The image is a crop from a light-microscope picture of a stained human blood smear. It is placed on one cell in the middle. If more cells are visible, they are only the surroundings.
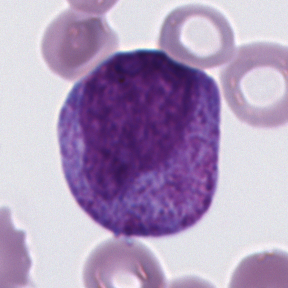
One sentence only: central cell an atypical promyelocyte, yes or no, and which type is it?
Yes, within this crop, the central cell is an atypical promyelocyte.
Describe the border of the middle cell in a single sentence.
Thanks for asking; the cell edge is smooth and has no projections.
